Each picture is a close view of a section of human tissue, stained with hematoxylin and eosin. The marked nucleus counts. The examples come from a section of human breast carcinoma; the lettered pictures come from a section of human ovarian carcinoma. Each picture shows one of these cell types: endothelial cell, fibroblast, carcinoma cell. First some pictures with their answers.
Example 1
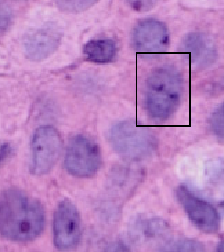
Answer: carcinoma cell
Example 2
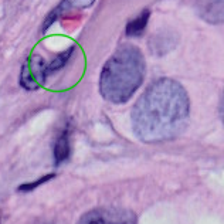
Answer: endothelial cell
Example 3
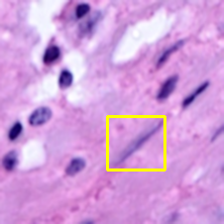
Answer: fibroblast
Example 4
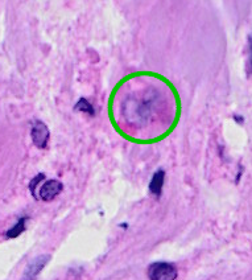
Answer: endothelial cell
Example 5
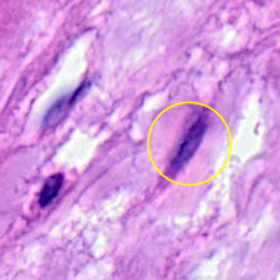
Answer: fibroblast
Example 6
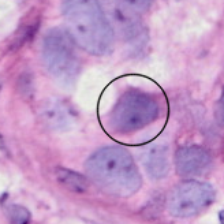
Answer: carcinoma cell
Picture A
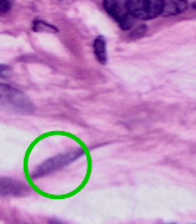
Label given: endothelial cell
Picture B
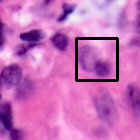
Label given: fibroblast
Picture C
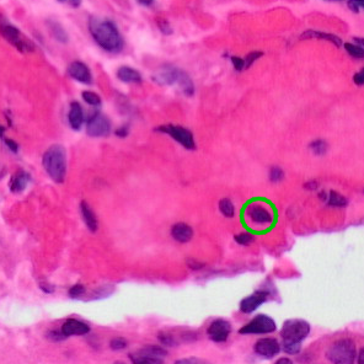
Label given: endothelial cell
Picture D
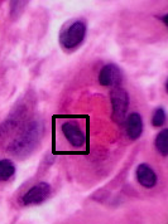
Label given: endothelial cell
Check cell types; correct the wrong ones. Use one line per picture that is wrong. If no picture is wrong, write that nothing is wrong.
A: not endothelial cell but fibroblast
